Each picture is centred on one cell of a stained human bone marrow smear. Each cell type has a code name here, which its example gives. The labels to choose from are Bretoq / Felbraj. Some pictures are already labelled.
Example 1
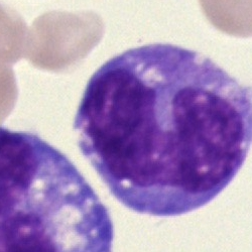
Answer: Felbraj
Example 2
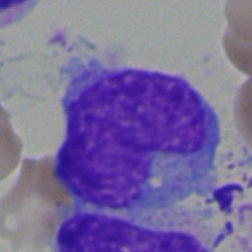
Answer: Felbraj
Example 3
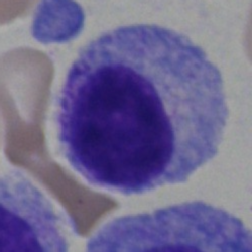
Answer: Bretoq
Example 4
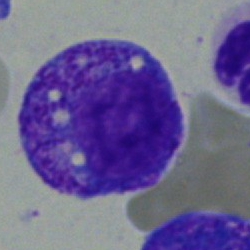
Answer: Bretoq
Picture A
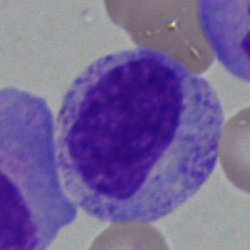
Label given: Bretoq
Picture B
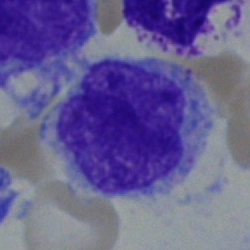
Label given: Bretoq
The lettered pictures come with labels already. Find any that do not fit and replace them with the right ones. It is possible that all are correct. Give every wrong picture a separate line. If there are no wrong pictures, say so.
B: change Bretoq to Felbraj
